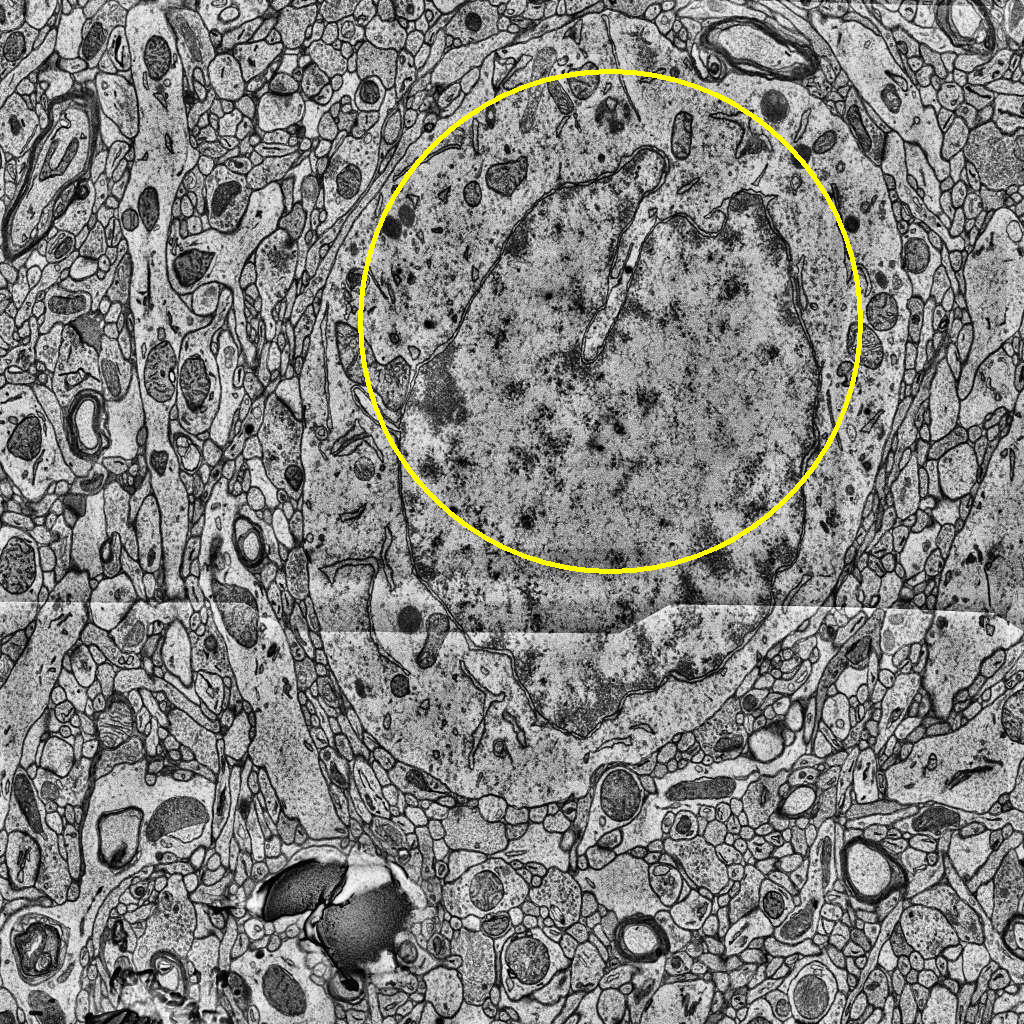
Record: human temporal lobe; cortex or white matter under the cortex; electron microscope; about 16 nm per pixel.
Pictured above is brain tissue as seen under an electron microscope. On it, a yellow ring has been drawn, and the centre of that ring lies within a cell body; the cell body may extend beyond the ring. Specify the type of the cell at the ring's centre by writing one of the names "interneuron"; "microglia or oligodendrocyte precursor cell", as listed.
interneuron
